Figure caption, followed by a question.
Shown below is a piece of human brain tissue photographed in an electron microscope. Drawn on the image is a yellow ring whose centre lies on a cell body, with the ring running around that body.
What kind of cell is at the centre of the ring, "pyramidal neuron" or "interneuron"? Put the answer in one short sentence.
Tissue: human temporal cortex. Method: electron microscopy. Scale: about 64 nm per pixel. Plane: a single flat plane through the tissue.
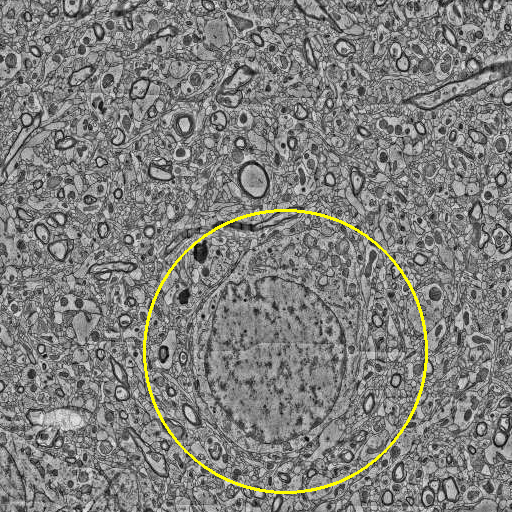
The ring marks the cell body of an interneuron.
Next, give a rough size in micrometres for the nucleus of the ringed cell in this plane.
In this plane the nucleus spans approximately 11 by 9 micrometers.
